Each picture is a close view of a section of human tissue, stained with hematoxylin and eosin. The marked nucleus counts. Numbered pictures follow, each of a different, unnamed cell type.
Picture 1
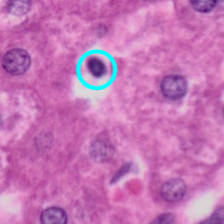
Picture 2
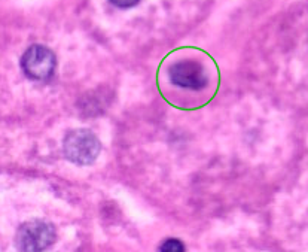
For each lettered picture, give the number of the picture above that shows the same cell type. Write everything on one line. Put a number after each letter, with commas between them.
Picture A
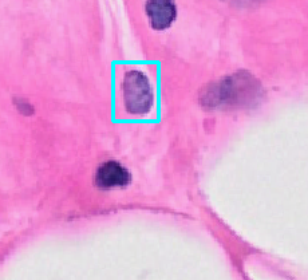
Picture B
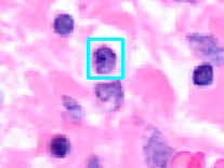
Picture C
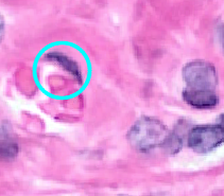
A 1, B 1, C 2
